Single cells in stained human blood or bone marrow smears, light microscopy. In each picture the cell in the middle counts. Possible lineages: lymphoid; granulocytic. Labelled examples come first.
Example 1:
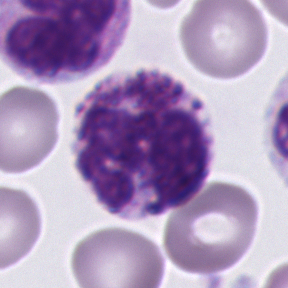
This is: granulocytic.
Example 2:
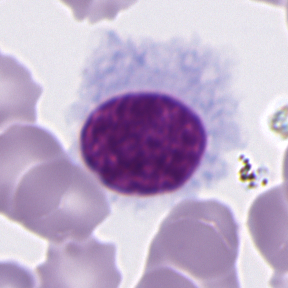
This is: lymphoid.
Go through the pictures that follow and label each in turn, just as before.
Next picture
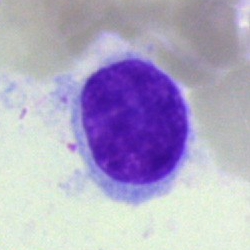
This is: lymphoid.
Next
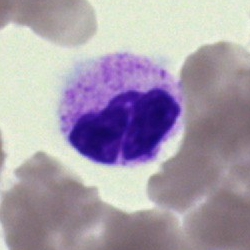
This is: granulocytic.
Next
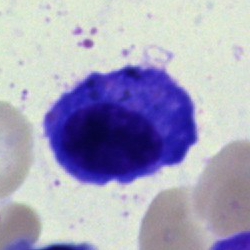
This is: lymphoid.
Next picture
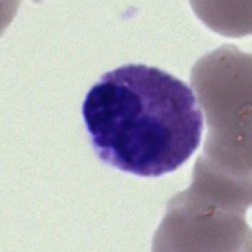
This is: granulocytic.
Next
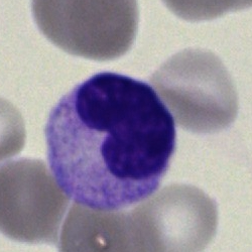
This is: granulocytic.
